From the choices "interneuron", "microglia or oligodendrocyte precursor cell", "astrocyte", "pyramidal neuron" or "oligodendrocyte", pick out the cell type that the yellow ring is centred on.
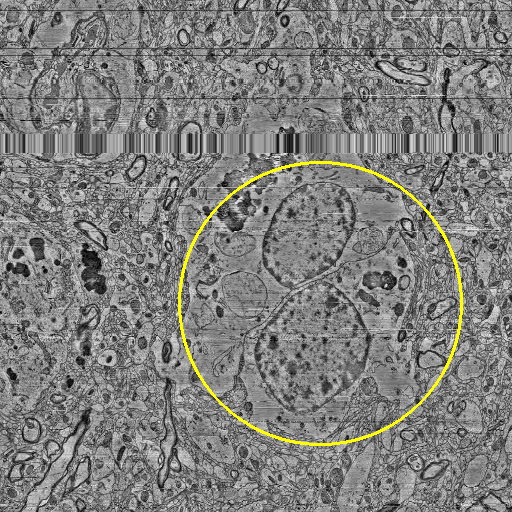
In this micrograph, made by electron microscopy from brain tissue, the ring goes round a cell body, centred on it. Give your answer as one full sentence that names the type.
The yellow ring is centred on an astrocyte, whose cell body it encircles in the picture.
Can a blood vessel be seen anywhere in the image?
Yes, there is a blood vessel.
